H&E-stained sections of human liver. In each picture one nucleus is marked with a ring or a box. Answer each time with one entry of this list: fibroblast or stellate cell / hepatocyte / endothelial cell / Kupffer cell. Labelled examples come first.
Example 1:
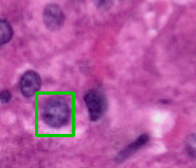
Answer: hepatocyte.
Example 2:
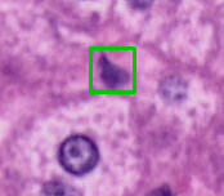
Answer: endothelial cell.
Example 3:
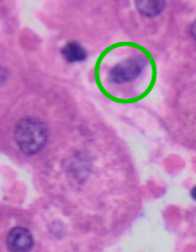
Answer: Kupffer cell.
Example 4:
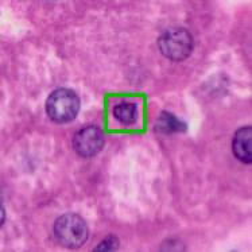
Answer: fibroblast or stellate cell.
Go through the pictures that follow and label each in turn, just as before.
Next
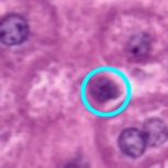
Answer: Kupffer cell.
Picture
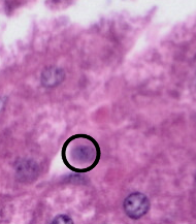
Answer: Kupffer cell.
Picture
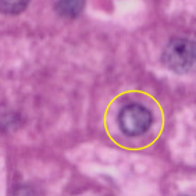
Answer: hepatocyte.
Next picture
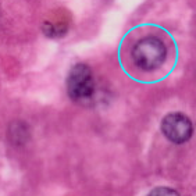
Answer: hepatocyte.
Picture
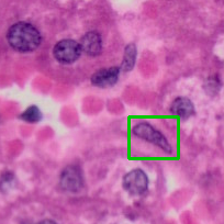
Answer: Kupffer cell.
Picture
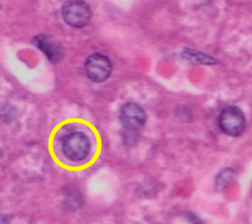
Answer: hepatocyte.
